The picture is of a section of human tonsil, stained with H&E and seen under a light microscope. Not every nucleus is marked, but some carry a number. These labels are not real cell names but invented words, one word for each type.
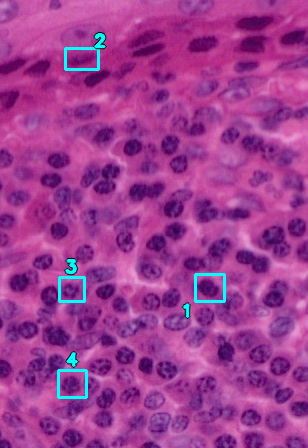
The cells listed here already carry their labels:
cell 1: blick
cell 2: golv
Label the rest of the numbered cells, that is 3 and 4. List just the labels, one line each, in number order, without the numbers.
blick
blick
